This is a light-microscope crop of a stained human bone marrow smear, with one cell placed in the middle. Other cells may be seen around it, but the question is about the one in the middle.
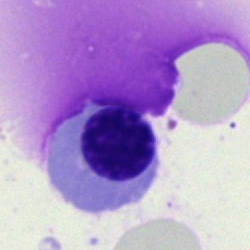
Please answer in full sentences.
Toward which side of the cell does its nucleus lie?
The nucleus is pushed toward the upper right of the cell.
